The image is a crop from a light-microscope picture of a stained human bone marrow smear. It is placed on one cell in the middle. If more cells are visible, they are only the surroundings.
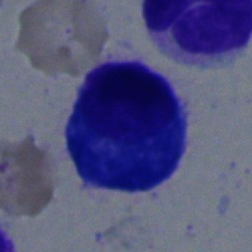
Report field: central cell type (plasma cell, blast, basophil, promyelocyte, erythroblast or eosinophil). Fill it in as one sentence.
The cell the crop is centered on is a plasma cell.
